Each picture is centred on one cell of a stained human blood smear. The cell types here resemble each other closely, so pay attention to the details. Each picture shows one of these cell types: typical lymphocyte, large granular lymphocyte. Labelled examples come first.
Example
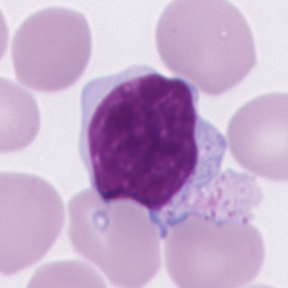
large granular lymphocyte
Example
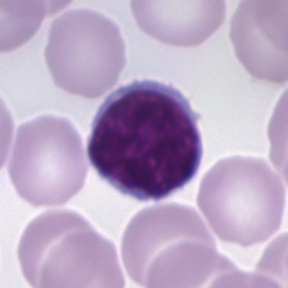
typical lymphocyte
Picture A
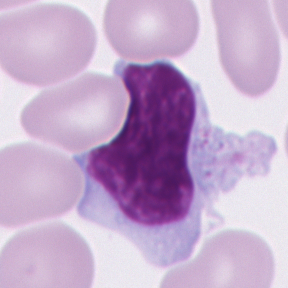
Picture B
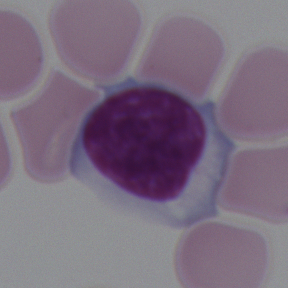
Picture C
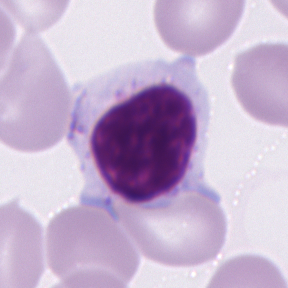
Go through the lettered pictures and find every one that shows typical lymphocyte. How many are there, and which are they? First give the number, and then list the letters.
Count: 1 (B)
